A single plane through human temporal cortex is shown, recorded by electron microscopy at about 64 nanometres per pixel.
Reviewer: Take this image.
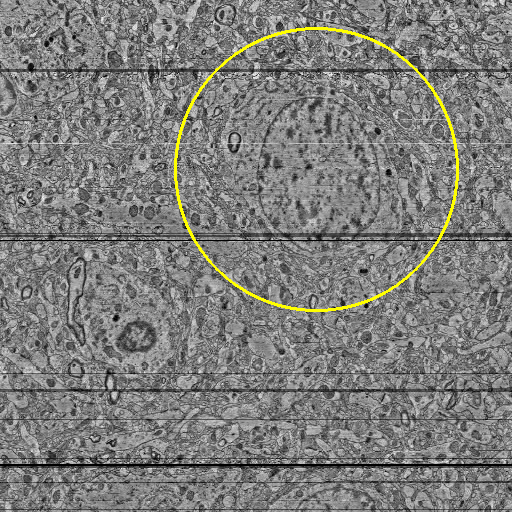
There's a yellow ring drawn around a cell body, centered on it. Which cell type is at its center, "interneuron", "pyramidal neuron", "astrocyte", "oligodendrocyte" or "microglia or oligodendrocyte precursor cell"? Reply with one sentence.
At the center of the yellow ring is a pyramidal neuron.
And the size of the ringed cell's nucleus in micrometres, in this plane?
About 10 by 8 micrometers, in this plane.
